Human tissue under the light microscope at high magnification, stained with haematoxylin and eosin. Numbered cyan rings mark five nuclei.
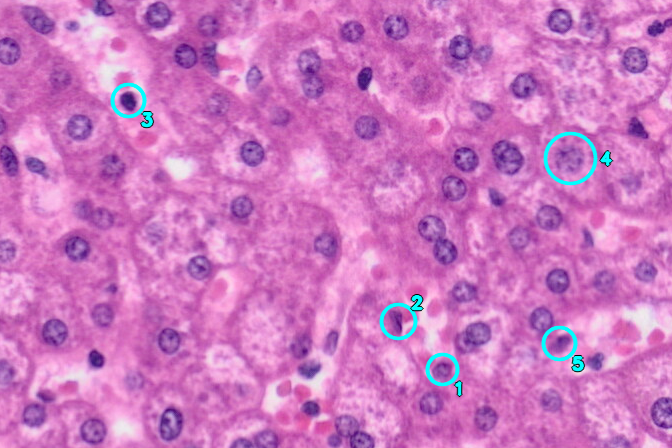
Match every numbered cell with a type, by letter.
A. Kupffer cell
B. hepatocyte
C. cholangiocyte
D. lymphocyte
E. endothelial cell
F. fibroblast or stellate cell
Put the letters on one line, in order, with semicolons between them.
A; E; D; B; A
